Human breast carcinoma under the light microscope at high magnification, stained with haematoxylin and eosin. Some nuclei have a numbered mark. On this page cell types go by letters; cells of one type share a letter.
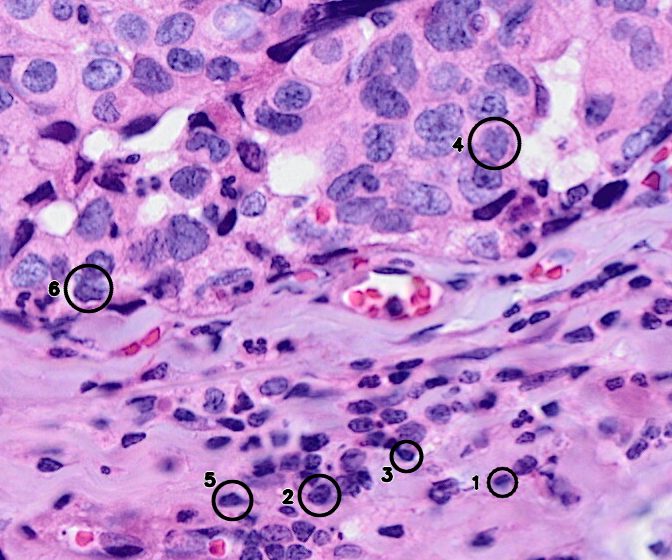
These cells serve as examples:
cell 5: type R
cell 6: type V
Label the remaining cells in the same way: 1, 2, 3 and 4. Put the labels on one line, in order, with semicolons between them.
type R; type R; type R; type V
